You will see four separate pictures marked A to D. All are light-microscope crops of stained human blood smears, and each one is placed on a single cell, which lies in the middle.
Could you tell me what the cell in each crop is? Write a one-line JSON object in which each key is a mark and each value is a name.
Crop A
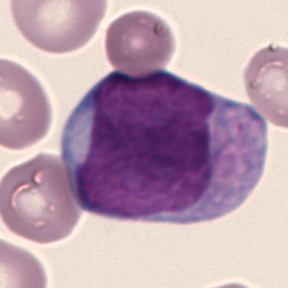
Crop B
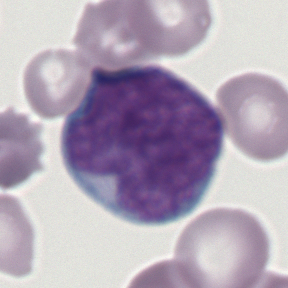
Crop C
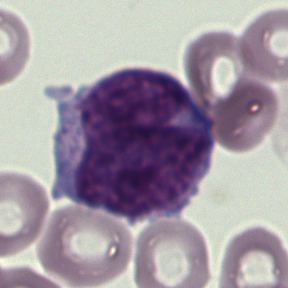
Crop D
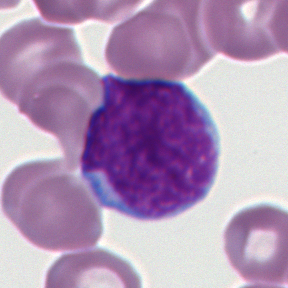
{"A": "atypical promyelocyte", "B": "myeloblast", "C": "atypical promyelocyte", "D": "myeloblast"}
